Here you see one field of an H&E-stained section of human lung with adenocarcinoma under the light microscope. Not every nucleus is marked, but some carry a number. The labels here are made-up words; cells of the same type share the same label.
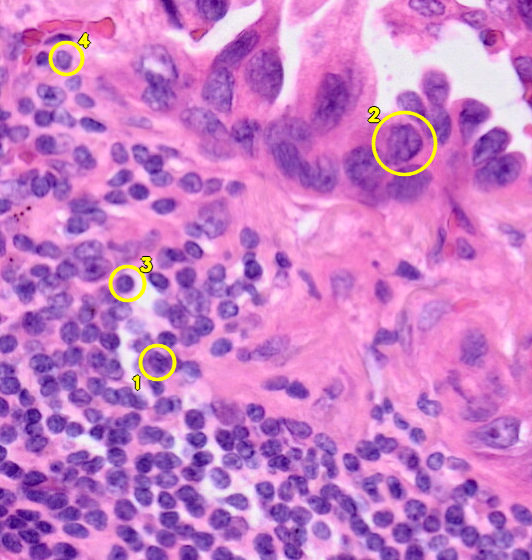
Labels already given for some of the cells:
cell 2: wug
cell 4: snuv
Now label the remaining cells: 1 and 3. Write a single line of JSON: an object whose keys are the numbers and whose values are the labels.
{"1": "snuv", "3": "snuv"}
